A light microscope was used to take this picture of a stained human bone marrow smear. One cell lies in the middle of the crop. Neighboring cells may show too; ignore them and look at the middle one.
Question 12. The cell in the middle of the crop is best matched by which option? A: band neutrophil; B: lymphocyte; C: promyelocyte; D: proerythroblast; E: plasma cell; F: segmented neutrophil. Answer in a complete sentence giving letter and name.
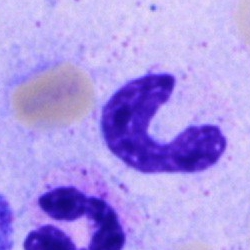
The cell centred in the crop is a band neutrophil, and the correct option is thus A.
